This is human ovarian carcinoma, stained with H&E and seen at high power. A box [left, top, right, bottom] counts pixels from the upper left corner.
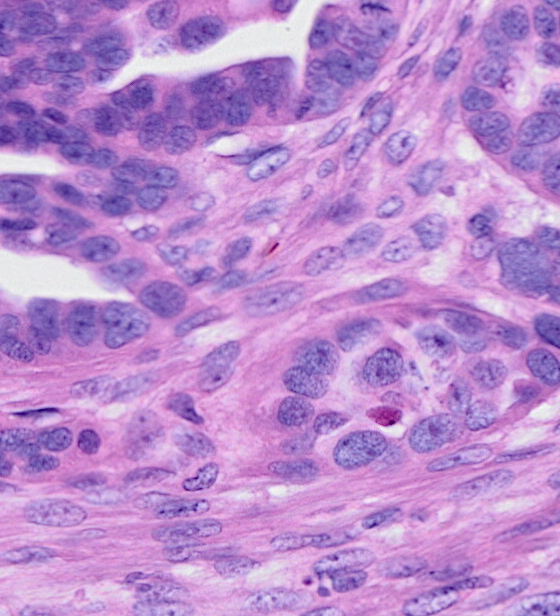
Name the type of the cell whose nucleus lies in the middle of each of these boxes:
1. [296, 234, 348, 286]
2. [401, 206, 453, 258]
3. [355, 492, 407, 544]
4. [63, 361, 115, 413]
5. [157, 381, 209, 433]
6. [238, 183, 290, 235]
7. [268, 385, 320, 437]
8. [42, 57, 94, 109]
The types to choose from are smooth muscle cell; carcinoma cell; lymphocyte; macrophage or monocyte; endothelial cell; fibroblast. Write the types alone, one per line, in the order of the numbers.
fibroblast
fibroblast
fibroblast
fibroblast
macrophage or monocyte
fibroblast
carcinoma cell
carcinoma cell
